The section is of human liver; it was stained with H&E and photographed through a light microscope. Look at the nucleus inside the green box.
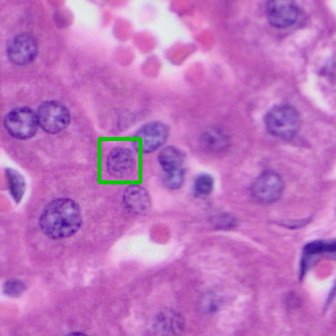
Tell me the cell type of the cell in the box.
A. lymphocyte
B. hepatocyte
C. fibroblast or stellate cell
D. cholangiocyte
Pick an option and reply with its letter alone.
D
